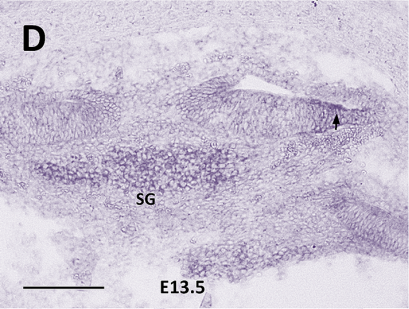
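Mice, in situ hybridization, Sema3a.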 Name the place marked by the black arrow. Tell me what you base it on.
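The arrow points to the right-hand end of an epithelial strip lining a narrow lumen. The cell cluster below left lies at the opposite side from the arrow.
Conclusion: abneural side of the cochlear epithelium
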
